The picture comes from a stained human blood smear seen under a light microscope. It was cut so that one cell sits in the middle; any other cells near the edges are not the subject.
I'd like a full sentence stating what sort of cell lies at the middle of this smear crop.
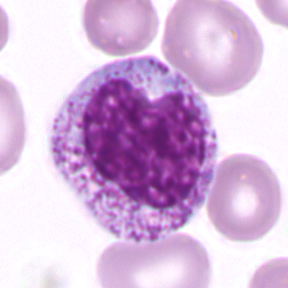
The centrally located cell in the crop is a myelocyte.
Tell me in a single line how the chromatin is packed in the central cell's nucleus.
You can see that its chromatin is coarsely clumped.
